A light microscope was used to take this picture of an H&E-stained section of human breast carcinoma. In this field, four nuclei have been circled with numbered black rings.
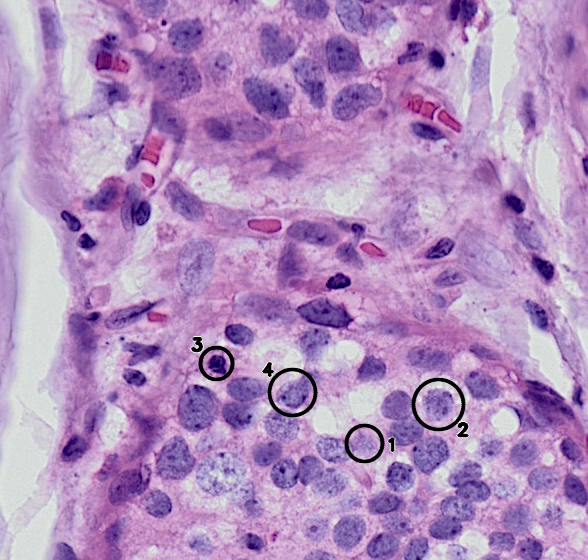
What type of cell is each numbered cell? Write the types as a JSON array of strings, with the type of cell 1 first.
["carcinoma cell", "carcinoma cell", "lymphocyte", "carcinoma cell"]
